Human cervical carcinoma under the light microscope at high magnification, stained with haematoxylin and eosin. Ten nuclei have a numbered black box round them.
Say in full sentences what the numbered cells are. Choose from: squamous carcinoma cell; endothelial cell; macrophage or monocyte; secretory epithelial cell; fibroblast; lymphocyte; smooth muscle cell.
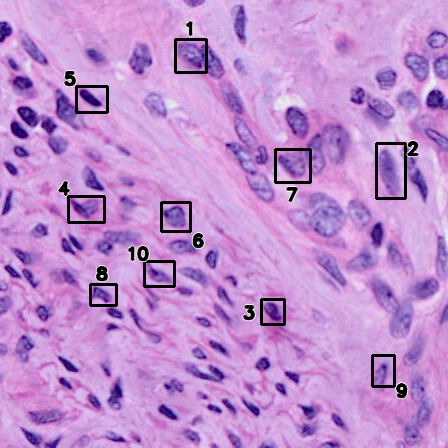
Cell 1 is an endothelial cell, cell 2 is a fibroblast, cell 3 is a smooth muscle cell, cell 4 is a smooth muscle cell, cell 5 is a lymphocyte, cell 6 is a smooth muscle cell, cell 7 is an endothelial cell, cell 8 is a smooth muscle cell, cell 9 is a smooth muscle cell and cell 10 is a smooth muscle cell.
